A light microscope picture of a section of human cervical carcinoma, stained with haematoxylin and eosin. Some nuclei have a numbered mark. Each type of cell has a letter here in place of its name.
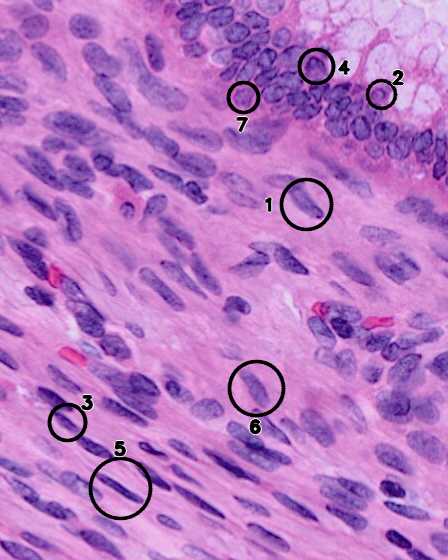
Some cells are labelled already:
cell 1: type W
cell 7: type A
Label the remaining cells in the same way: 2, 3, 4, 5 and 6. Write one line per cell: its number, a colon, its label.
2: type A
3: type W
4: type A
5: type W
6: type W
